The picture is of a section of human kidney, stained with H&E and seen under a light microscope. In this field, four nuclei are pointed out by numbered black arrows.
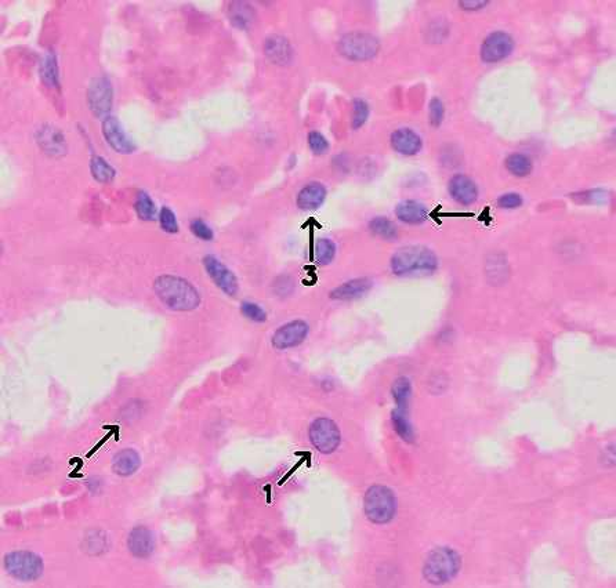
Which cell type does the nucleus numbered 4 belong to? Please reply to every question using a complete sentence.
Belonging to a loop of Henle or distal tubule cell is the nucleus that carries the number 4.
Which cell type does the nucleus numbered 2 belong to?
Identified by the number 2, the cell is a proximal tubule cell.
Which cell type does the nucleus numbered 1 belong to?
Here, the cell given the number 1 is a proximal tubule cell.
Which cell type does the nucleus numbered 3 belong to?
Identified by the number 3, the cell is a loop of Henle or distal tubule cell.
